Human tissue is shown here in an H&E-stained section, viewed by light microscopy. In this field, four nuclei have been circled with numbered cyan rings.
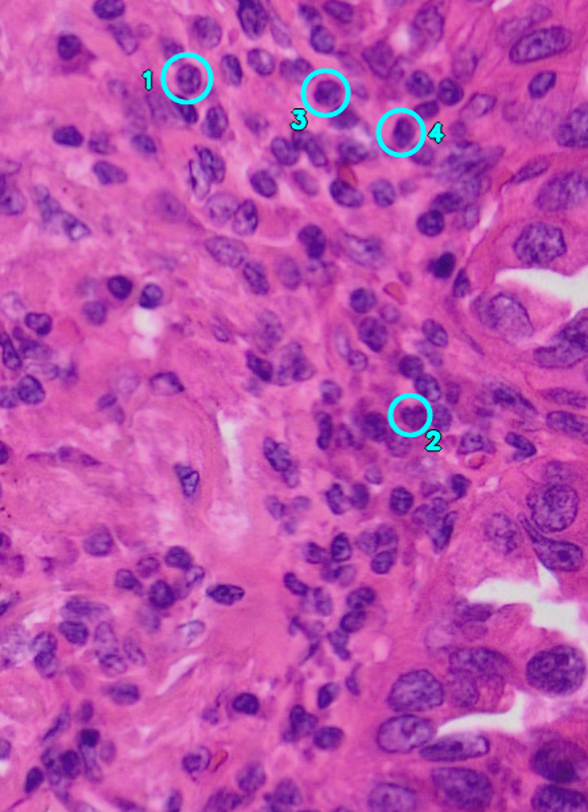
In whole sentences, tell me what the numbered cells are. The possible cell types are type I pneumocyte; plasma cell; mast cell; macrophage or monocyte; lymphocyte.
Cell 1 is a lymphocyte, cell 2 is a plasma cell, cell 3 is a lymphocyte and cell 4 is a lymphocyte.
